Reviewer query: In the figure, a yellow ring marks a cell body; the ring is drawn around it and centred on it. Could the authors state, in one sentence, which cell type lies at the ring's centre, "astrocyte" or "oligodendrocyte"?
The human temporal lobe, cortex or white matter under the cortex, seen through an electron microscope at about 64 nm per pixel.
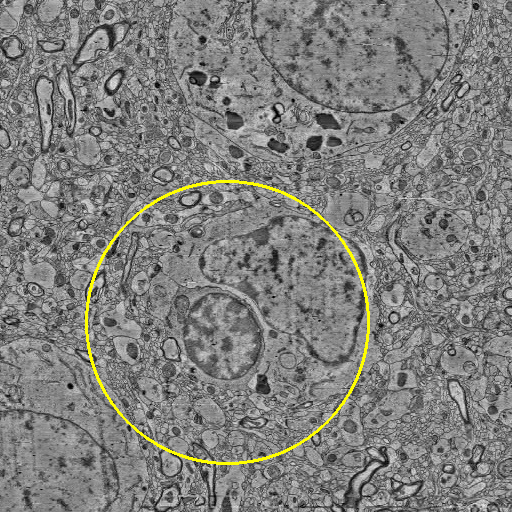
The ring is centred on an oligodendrocyte.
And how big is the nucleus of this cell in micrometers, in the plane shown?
About 6 micrometres by about 5 micrometres in this plane.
